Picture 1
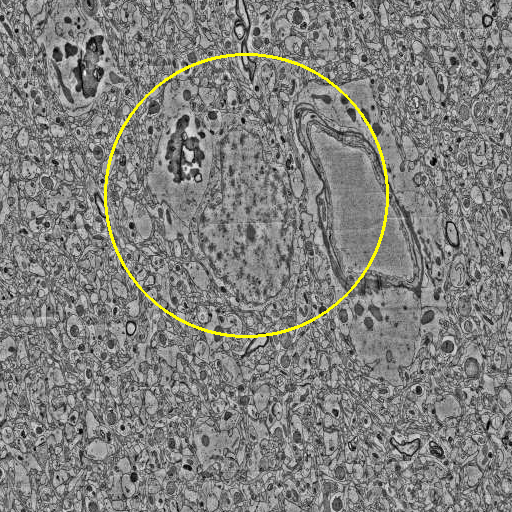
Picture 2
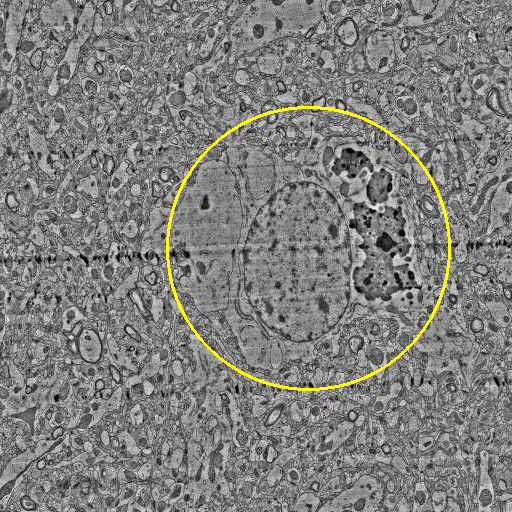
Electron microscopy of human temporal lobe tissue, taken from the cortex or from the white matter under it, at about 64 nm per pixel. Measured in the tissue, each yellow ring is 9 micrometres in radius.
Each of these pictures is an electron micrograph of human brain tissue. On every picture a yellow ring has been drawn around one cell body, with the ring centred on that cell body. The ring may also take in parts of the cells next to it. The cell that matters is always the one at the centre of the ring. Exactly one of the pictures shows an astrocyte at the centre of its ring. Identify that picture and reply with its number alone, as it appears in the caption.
2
